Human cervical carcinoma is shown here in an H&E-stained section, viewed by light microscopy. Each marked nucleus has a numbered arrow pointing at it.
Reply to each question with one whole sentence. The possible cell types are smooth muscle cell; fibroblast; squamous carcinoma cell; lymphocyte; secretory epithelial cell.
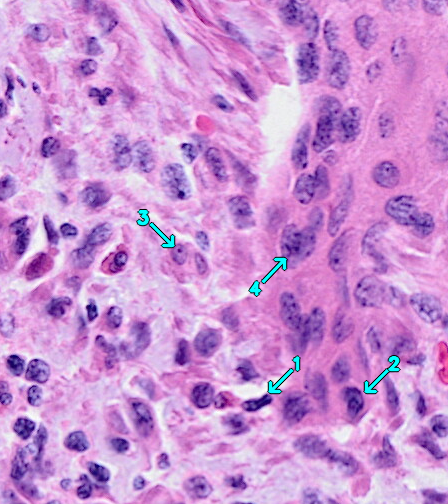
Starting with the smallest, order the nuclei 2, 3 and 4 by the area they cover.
The order from the smallest nucleus to the largest is 3, 2, 4.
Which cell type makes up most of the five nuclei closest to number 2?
Most of the five nuclei nearest to number 2 are those of squamous carcinoma cells.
